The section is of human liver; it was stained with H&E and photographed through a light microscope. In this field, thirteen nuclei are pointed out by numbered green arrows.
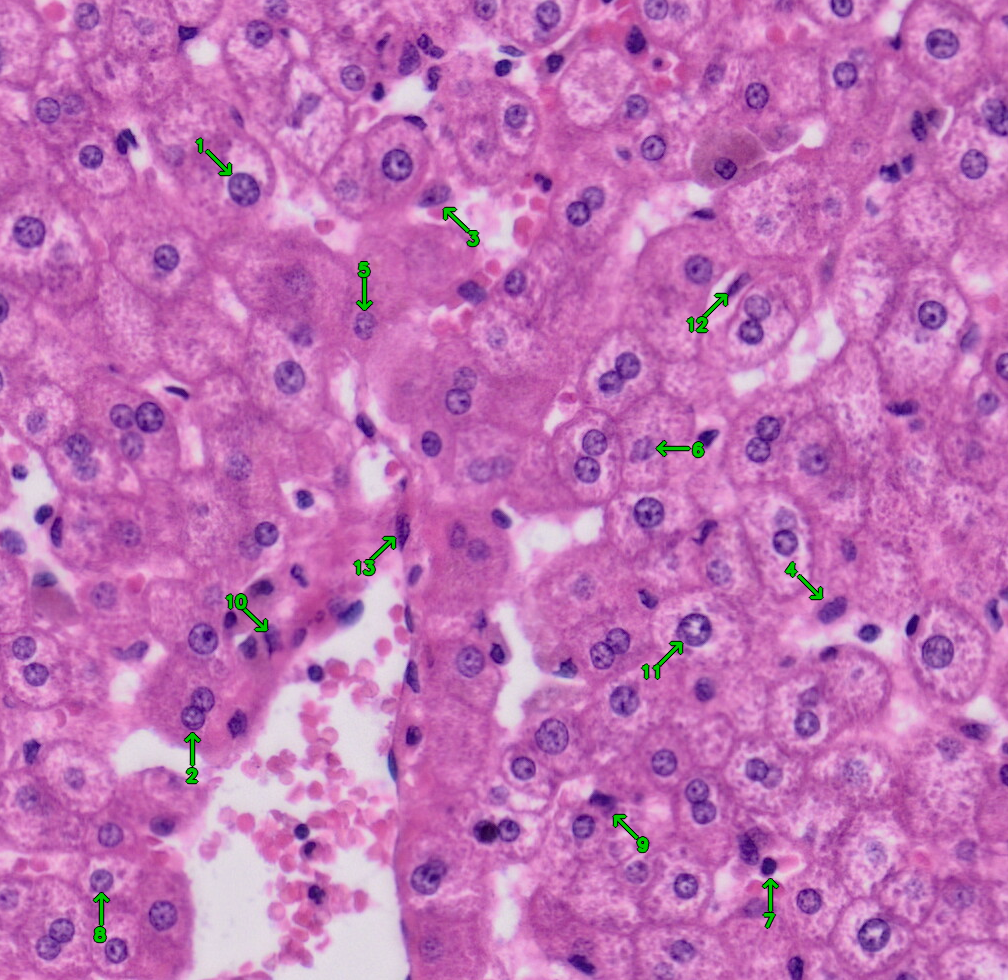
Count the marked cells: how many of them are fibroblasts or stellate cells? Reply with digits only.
3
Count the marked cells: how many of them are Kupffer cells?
3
